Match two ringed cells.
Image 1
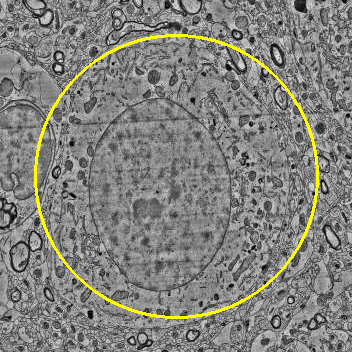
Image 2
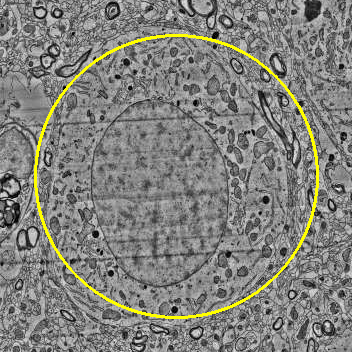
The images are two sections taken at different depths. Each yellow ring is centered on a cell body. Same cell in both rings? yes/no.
yes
